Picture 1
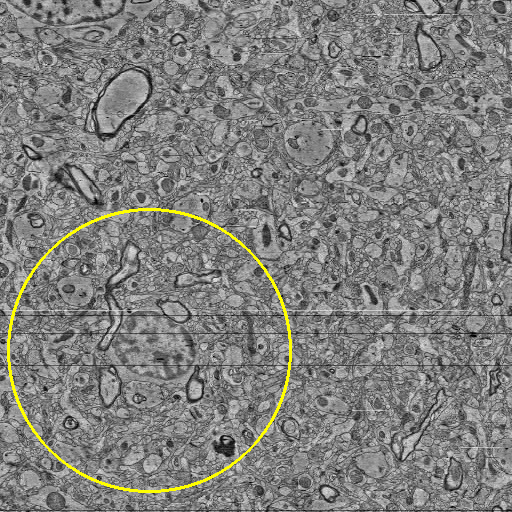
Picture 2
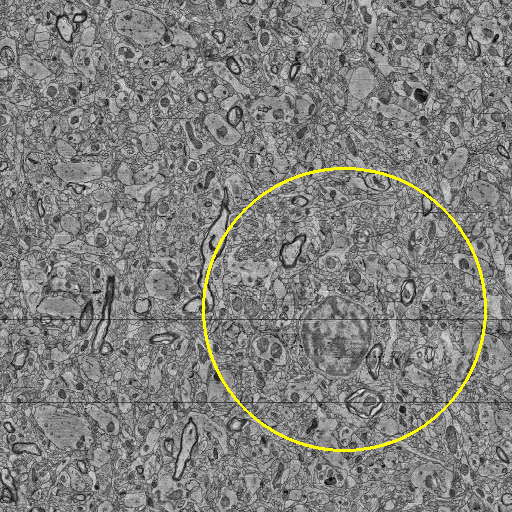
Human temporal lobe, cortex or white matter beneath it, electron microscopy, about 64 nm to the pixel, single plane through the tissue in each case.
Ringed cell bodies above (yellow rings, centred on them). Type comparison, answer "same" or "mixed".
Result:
same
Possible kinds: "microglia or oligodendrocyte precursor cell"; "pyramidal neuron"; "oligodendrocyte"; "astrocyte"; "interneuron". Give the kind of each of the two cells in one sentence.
Each of the two pictures has an oligodendrocyte at the ring centre.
